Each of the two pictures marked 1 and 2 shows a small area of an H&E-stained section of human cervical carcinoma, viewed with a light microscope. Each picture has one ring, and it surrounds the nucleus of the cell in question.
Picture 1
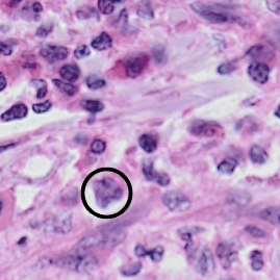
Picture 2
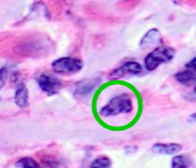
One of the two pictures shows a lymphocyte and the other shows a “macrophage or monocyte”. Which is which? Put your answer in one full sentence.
The cell in picture 1 is a “macrophage or monocyte”, and the one in picture 2 is a lymphocyte.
